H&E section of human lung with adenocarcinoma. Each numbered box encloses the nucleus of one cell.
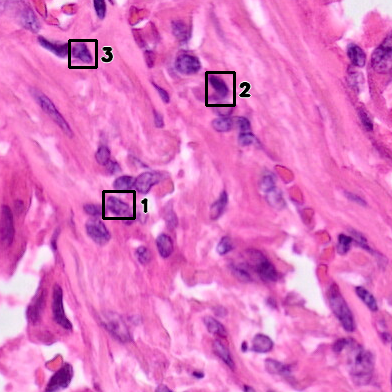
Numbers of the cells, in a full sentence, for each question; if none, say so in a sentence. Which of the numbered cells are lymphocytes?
The cells that have been numbered 1 and 3 are lymphocytes.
